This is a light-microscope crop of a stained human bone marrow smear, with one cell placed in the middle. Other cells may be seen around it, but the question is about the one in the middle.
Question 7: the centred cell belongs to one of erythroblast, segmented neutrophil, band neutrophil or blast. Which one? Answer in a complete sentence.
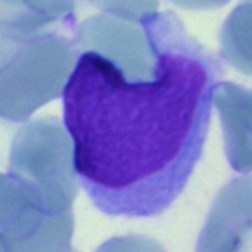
Regarding the central cell, it is a blast.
